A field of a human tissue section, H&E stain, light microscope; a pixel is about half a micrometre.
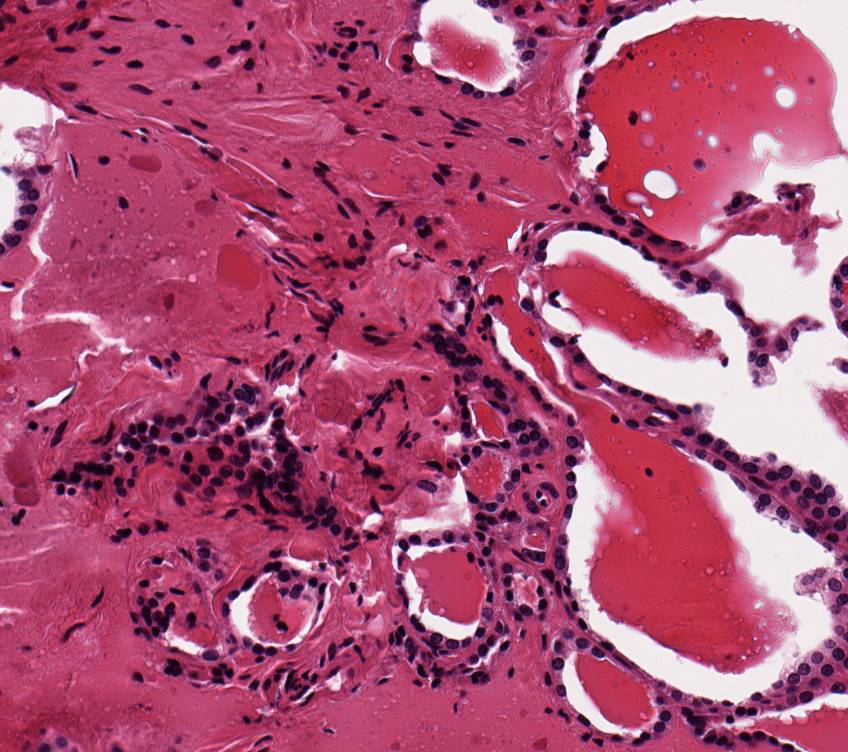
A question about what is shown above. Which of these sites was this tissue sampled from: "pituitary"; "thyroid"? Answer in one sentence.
The site this tissue was sampled from is the thyroid.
